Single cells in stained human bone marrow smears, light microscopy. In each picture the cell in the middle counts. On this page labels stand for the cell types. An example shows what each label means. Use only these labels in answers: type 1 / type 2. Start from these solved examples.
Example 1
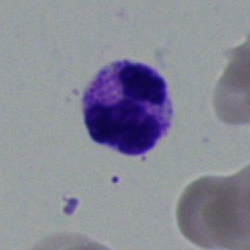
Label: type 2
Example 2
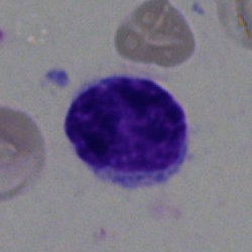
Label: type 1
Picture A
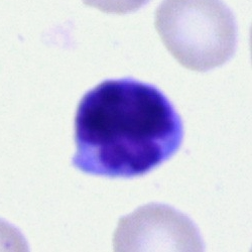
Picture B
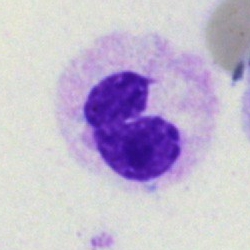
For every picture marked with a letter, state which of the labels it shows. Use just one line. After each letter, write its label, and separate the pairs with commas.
A type 1, B type 2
